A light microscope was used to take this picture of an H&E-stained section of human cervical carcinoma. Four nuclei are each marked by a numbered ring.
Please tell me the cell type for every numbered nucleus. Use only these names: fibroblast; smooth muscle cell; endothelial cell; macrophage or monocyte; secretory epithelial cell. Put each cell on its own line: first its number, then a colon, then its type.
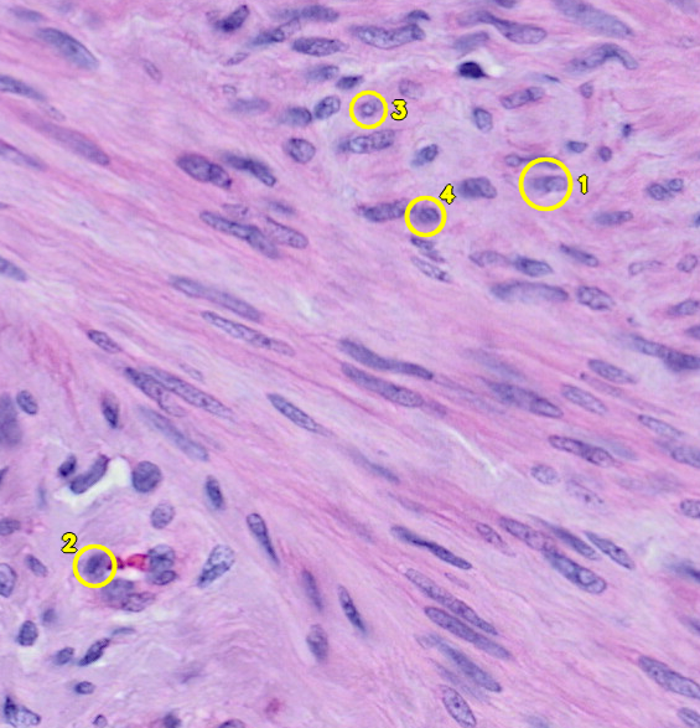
1: smooth muscle cell
2: endothelial cell
3: smooth muscle cell
4: smooth muscle cell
